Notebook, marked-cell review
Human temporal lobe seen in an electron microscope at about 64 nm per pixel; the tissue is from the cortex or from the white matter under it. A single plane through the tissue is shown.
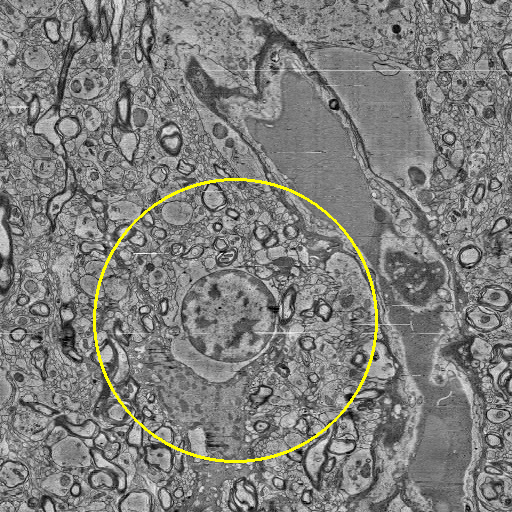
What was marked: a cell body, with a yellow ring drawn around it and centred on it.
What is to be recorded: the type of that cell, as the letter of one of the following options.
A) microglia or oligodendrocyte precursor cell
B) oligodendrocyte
A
